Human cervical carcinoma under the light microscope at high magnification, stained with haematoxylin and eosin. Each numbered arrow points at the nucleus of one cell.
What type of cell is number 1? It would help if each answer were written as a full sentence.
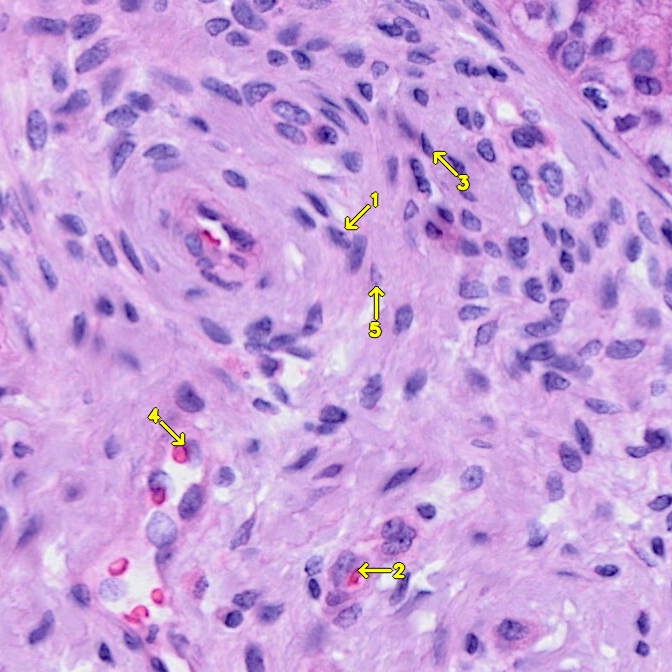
What the number 1 marks in this field is a fibroblast.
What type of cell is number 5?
Cell 5, among those numbered, is a fibroblast.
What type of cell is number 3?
Classified as a fibroblast is the cell with the number 3.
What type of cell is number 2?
Cell 2 in the field is an endothelial cell.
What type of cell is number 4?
The one labeled 4 is an endothelial cell, to put it simply.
